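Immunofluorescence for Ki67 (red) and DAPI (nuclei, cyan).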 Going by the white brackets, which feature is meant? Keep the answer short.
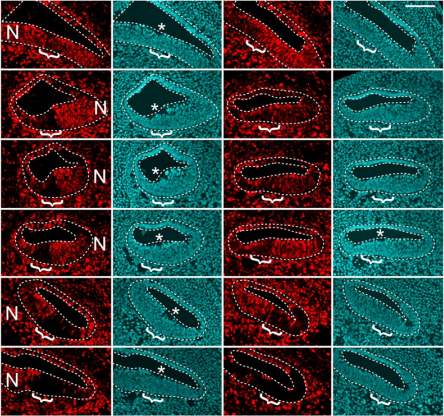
Prosensory domain.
